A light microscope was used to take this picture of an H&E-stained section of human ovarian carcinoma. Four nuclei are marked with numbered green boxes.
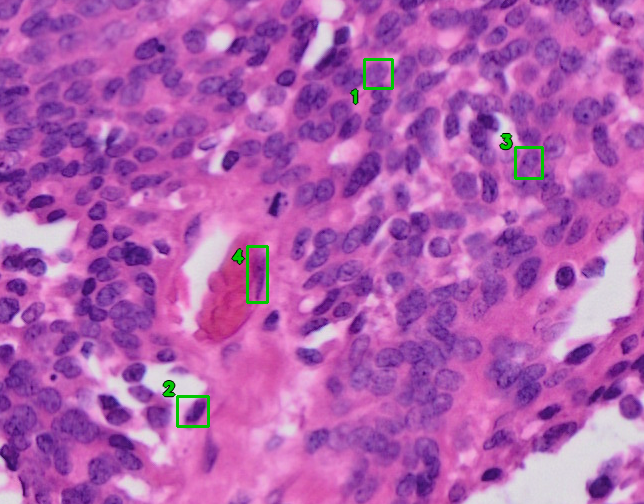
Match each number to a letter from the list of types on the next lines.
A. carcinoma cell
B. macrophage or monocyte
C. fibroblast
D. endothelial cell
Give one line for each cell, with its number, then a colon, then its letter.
1: A
2: B
3: A
4: D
